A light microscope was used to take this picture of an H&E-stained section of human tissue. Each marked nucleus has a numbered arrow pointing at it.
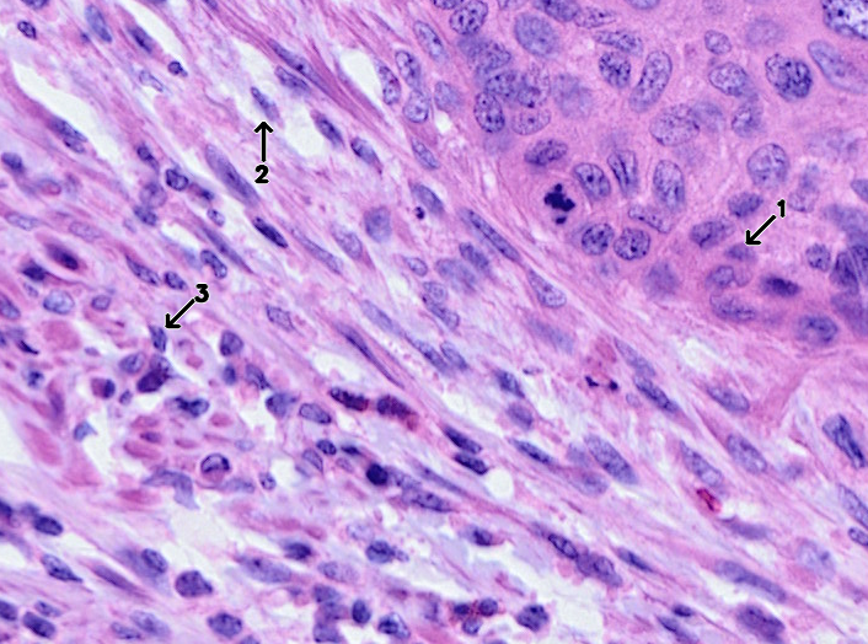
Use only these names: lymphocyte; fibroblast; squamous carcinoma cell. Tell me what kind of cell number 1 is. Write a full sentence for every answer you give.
Cell 1 should be recorded as a squamous carcinoma cell.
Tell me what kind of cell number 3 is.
The cell that bears the number 3 is a lymphocyte.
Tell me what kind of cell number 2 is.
The cell whose nucleus carries the number 2 is a fibroblast.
